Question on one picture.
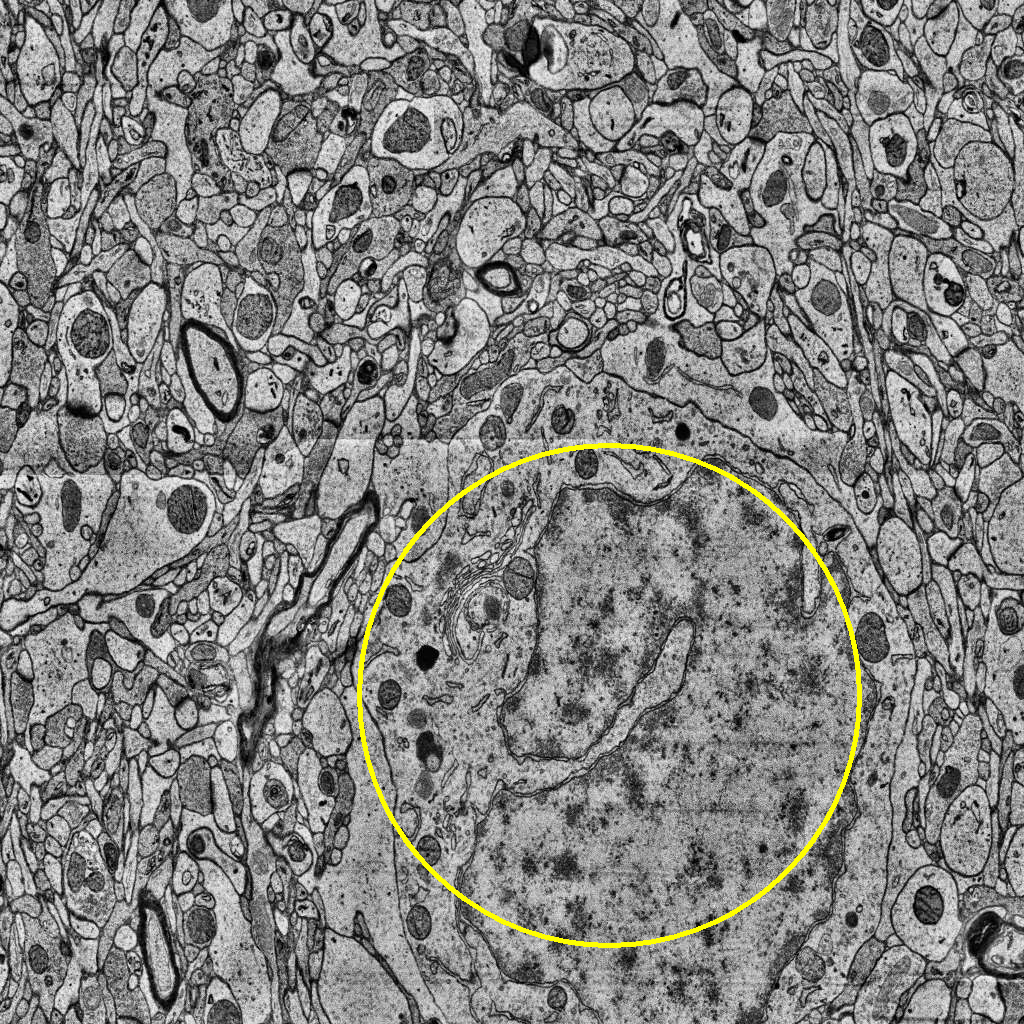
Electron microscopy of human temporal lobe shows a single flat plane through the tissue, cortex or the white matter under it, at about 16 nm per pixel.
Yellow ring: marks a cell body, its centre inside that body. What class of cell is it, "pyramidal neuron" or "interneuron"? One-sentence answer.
This is an interneuron, the cell at the ring's centre.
